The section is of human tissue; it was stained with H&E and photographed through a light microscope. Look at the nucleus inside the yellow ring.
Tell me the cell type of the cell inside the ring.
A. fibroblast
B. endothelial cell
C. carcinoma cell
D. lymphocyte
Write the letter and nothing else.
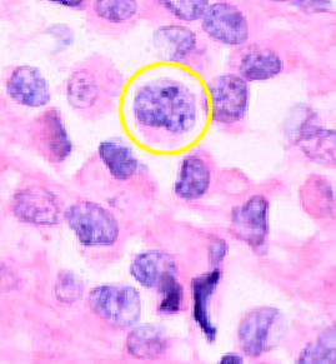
C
